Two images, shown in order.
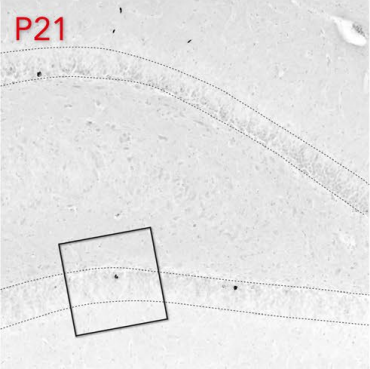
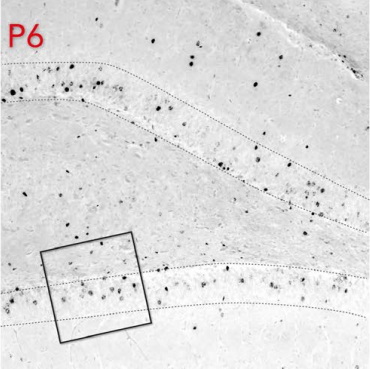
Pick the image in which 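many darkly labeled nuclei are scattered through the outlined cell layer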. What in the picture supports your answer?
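The second image. First image: only one or two dark nuclei lie within the outlined band. Second image: dozens of dark nuclei lie within and around the outlined bands.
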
